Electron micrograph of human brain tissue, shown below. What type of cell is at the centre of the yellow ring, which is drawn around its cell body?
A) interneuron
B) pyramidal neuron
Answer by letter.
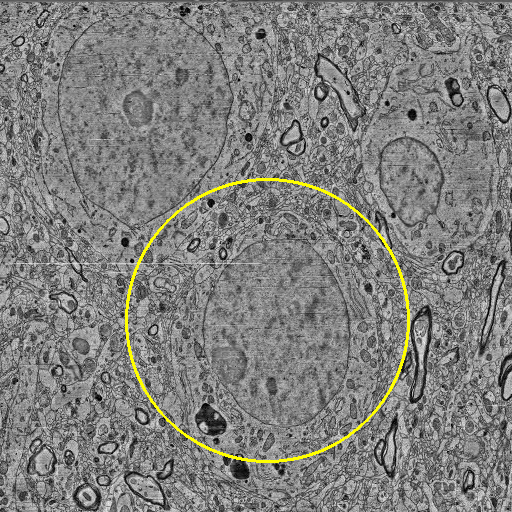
A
